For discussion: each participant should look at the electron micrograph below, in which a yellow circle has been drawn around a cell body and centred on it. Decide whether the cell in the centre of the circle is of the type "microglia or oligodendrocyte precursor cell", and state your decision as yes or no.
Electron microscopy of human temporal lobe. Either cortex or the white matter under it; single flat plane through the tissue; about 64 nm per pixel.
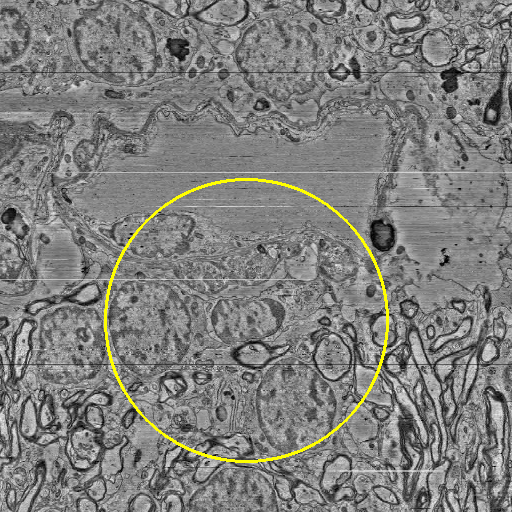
yes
